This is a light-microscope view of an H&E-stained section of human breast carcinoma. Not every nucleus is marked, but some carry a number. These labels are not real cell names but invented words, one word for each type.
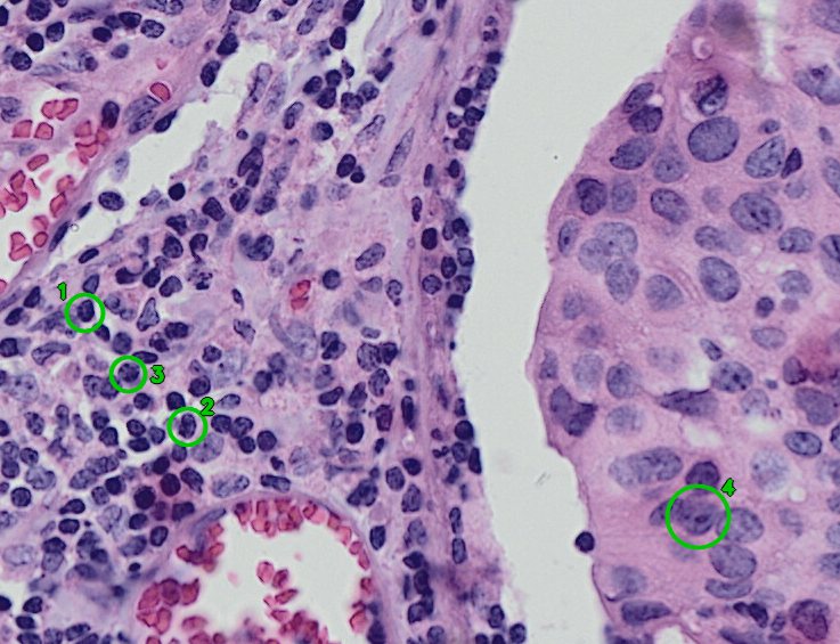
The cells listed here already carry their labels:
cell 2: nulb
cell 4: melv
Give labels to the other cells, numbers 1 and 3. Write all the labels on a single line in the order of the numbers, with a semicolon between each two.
nulb; nulb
